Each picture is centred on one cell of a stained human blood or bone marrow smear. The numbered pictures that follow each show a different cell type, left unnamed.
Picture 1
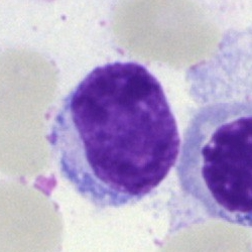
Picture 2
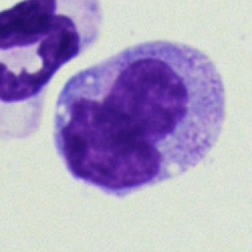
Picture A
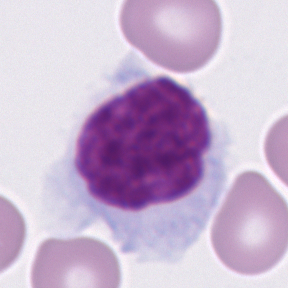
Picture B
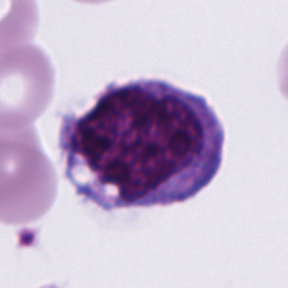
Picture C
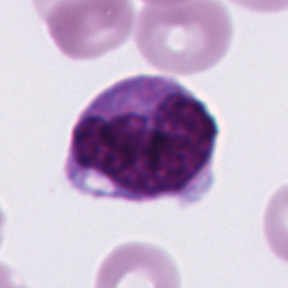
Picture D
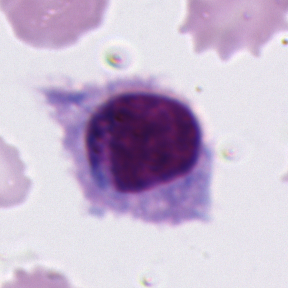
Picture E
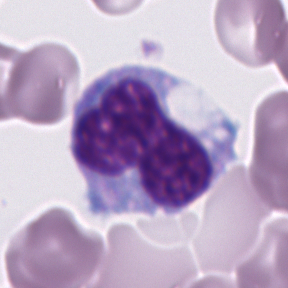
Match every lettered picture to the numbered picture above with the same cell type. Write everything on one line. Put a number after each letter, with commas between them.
A 1, B 2, C 2, D 1, E 2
